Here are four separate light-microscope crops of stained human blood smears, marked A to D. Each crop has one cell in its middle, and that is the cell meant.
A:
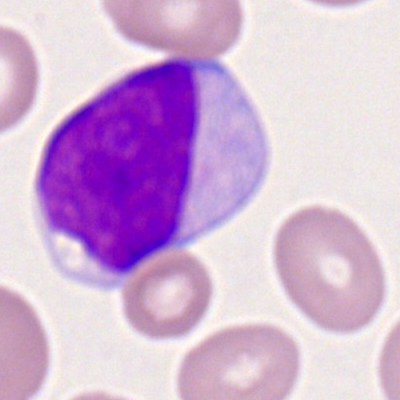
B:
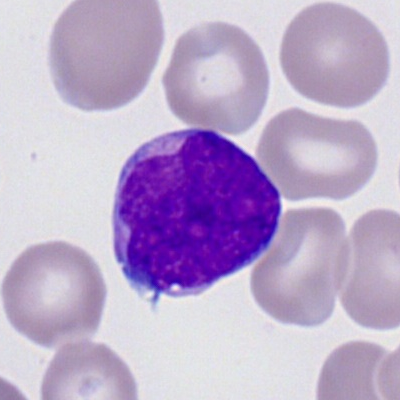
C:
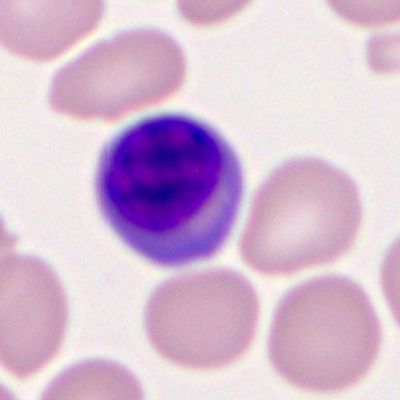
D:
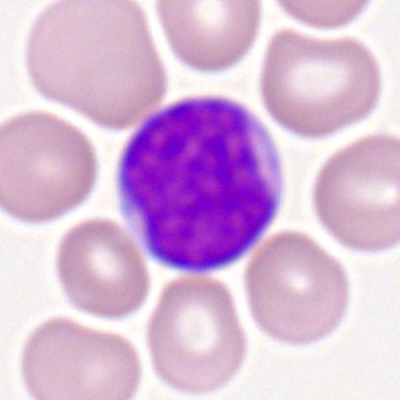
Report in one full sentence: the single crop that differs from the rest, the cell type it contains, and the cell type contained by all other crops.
Apart from crop C, which shows a normoblast, every crop shows myeloblasts.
